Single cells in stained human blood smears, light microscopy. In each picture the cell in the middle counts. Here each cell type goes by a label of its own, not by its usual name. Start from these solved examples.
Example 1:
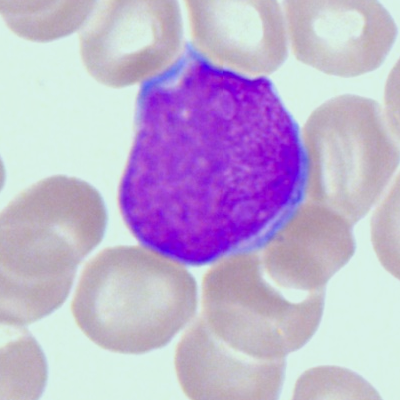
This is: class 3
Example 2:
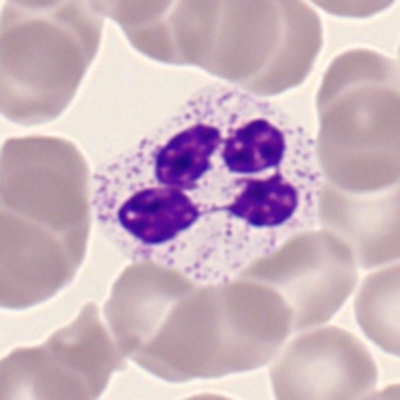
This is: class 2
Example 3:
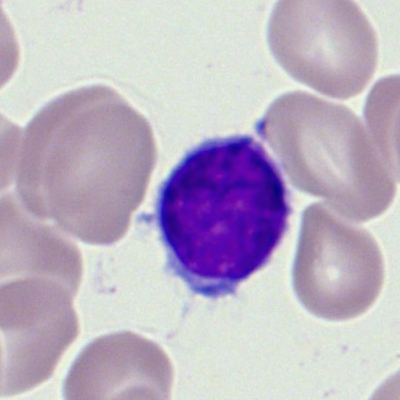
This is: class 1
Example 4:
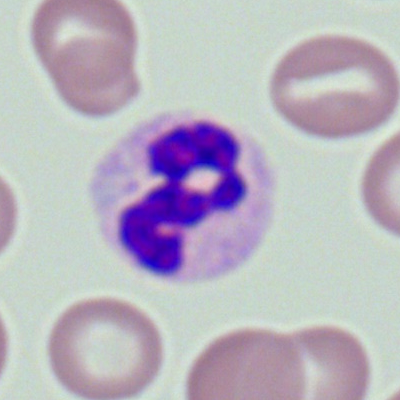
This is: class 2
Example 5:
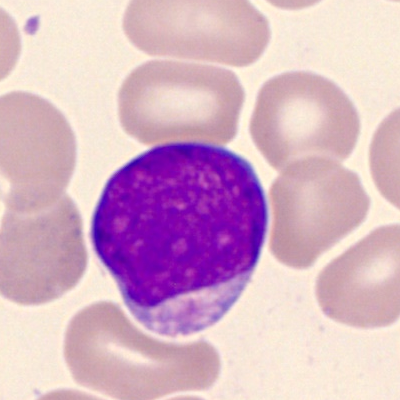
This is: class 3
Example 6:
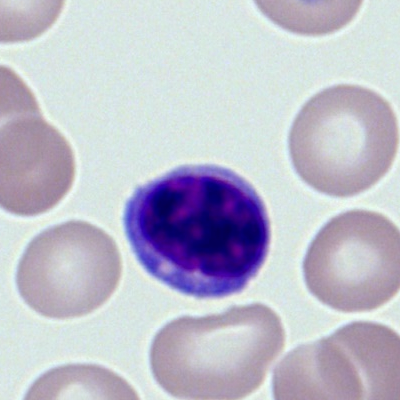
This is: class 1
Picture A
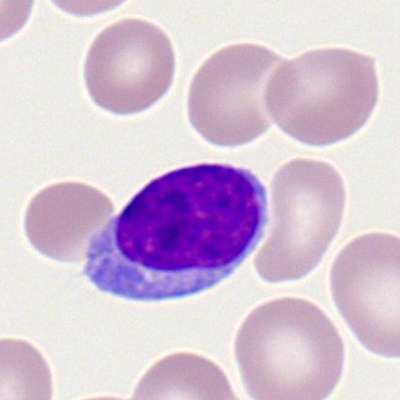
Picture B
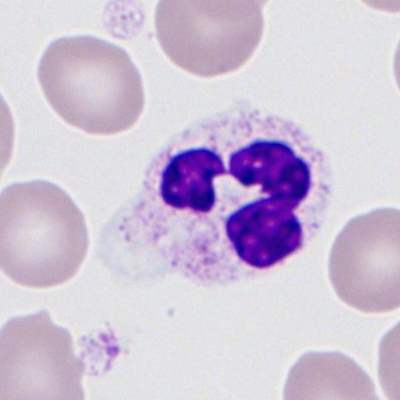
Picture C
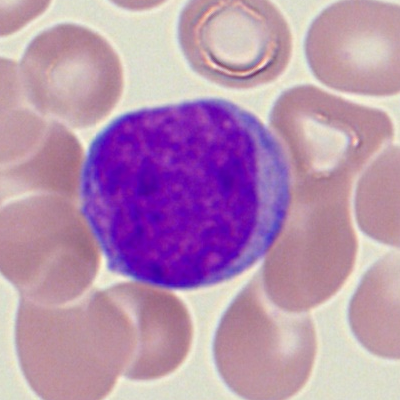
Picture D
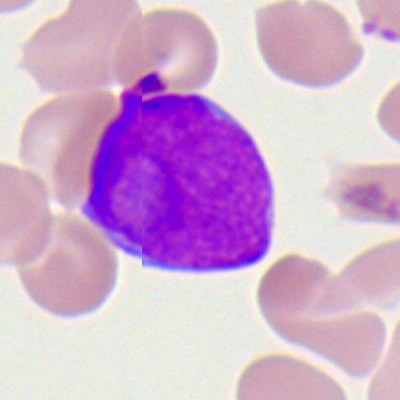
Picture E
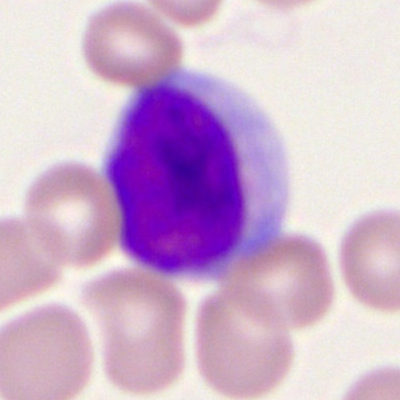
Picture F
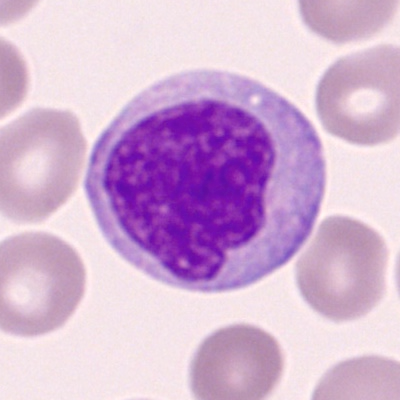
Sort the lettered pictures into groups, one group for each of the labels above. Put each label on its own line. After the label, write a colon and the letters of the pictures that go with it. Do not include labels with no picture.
class 3: C, D, E, F
class 2: B
class 1: A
